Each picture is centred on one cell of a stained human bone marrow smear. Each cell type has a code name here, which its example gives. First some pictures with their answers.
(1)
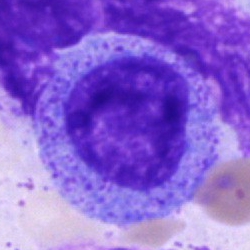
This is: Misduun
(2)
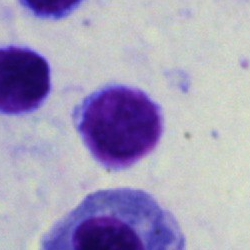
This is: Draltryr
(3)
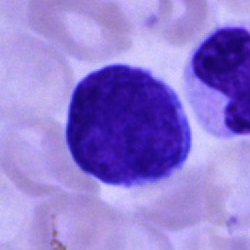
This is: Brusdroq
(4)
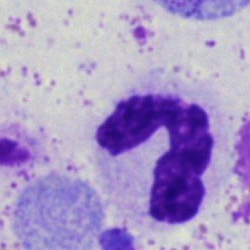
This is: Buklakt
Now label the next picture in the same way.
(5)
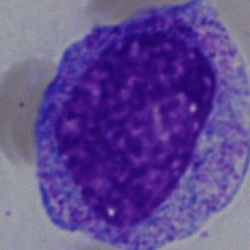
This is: Misduun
